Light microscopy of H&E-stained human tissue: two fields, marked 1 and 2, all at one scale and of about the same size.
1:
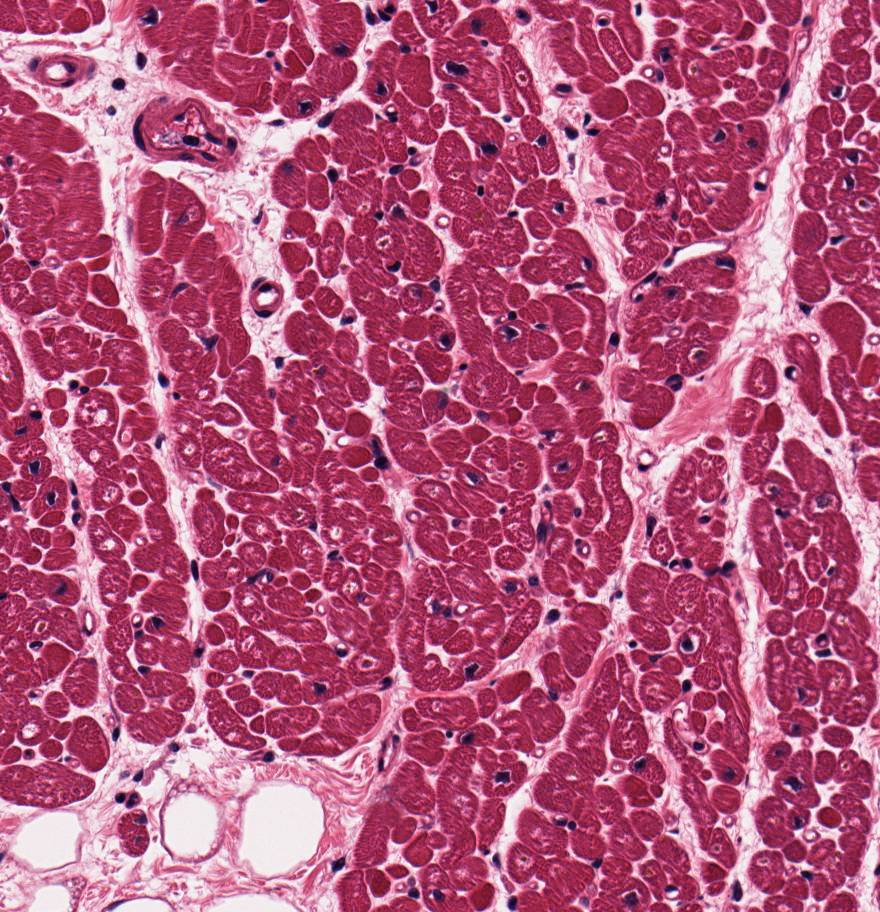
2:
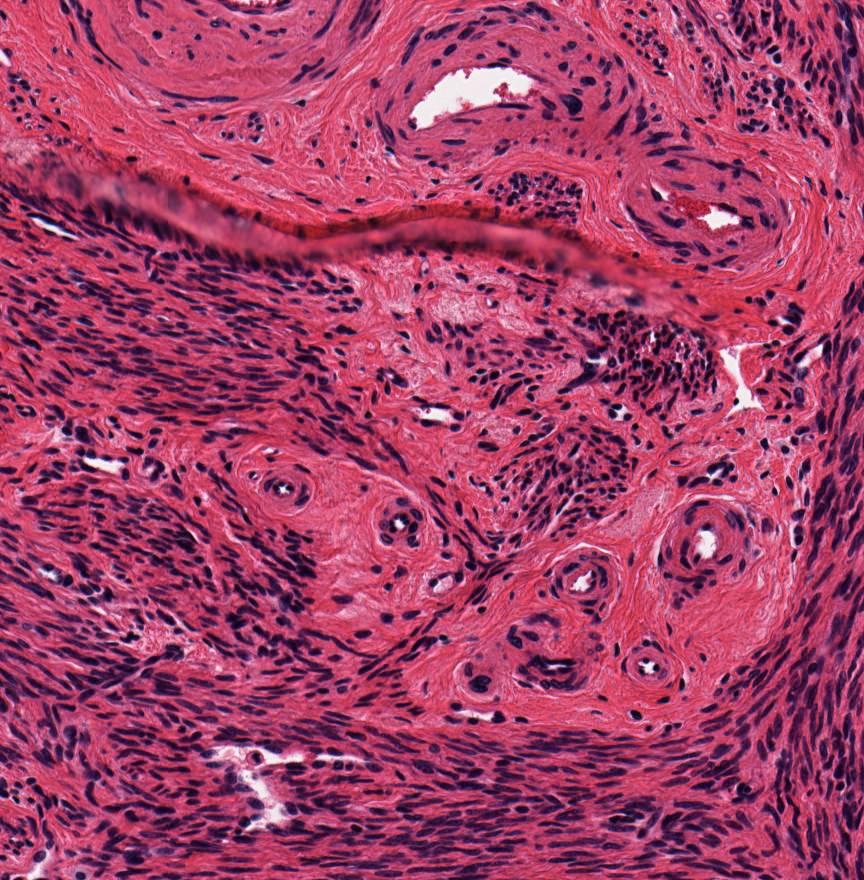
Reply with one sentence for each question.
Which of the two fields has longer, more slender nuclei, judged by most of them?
The nuclei are more elongated in field 2.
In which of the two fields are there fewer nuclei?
It is field 1 that has fewer nuclei in it.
